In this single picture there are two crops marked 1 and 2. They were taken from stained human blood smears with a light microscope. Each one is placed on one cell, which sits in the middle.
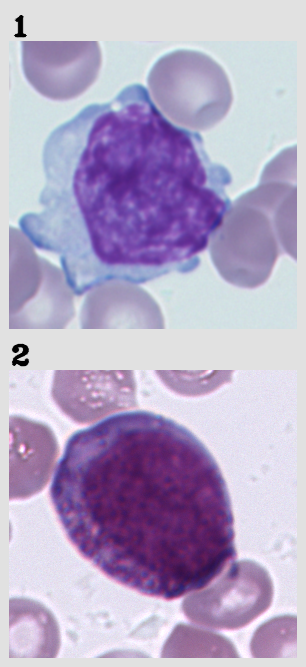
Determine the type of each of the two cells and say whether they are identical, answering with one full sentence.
No, the cell centred in crop 1 is a myeloblast, and that centred in crop 2 is a promyelocyte.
